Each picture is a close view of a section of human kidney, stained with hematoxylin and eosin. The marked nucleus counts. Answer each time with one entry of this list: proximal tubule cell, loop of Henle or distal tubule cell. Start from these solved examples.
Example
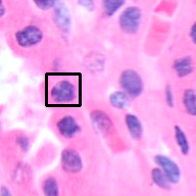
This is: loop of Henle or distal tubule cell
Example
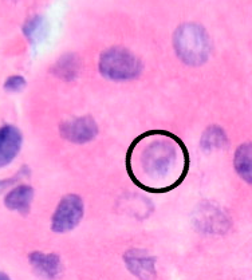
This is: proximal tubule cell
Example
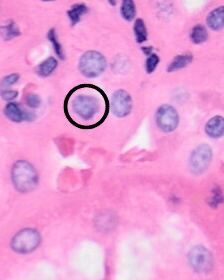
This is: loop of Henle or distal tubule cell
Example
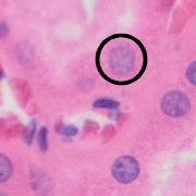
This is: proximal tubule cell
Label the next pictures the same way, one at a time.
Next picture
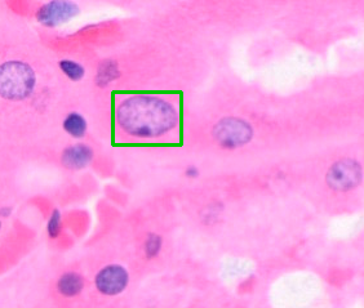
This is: proximal tubule cell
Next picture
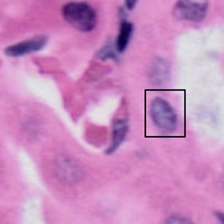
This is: loop of Henle or distal tubule cell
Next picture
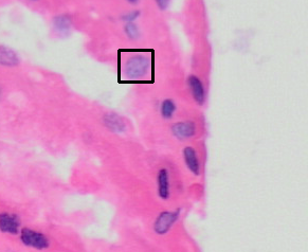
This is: loop of Henle or distal tubule cell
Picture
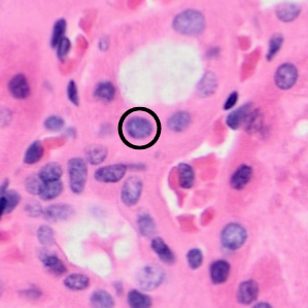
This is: loop of Henle or distal tubule cell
